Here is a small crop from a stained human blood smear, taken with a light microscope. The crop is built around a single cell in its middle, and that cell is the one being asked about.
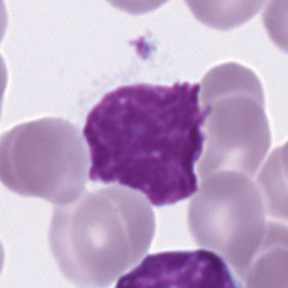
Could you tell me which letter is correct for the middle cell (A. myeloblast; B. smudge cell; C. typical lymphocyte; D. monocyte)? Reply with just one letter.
B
